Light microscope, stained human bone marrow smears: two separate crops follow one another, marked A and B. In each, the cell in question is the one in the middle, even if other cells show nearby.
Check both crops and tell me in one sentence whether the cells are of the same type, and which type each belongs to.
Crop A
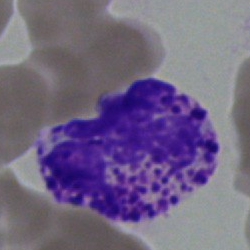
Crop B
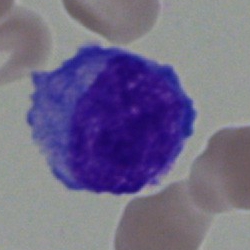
No, in crop A the cell is a basophil, and in crop B it is a promyelocyte.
